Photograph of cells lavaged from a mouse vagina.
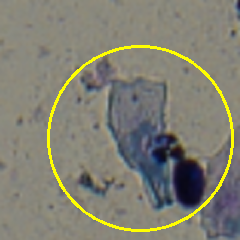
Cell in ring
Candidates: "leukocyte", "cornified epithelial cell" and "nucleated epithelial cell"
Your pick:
cornified epithelial cell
